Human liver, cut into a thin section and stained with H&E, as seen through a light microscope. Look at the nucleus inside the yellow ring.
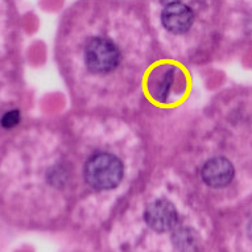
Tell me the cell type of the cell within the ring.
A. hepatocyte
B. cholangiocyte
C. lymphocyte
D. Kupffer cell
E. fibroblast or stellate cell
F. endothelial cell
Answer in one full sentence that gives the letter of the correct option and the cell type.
Option F names it right: the cell within the ring is an endothelial cell.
